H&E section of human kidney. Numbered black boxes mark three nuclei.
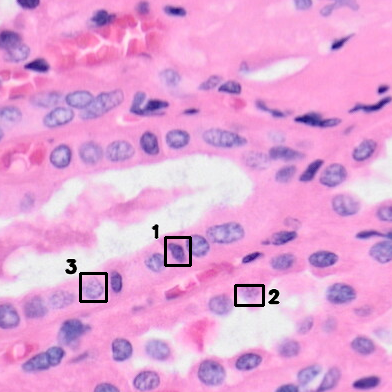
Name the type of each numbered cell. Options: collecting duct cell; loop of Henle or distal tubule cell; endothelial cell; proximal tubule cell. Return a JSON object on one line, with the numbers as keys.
{"1": "collecting duct cell", "2": "loop of Henle or distal tubule cell", "3": "collecting duct cell"}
